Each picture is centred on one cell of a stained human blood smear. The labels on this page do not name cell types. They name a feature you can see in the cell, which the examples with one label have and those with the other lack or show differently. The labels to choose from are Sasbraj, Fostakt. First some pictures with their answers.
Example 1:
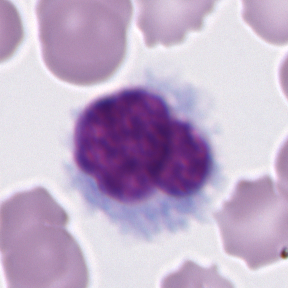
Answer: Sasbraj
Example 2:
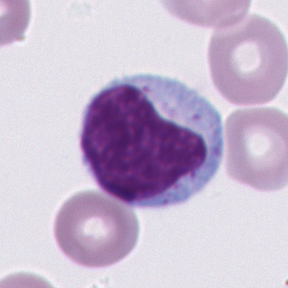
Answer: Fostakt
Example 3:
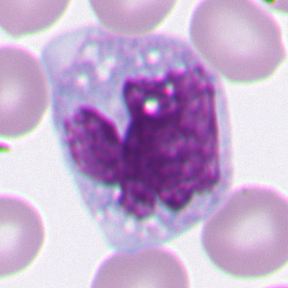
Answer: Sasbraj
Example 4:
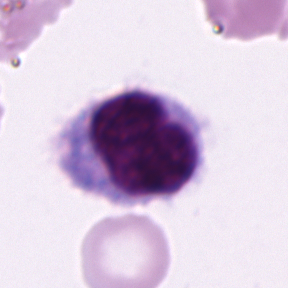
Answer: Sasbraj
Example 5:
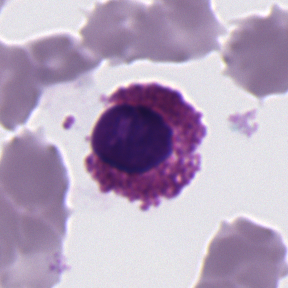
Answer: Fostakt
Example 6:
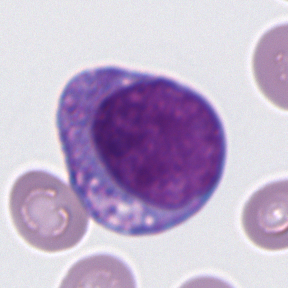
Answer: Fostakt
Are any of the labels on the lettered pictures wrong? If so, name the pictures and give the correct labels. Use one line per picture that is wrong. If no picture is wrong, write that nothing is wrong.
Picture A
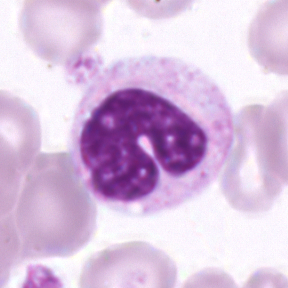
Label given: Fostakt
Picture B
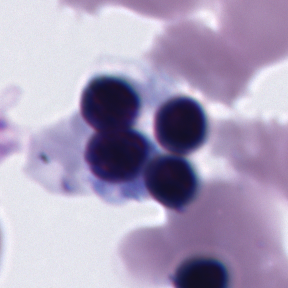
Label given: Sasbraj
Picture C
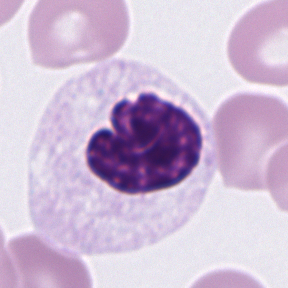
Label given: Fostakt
No label is wrong.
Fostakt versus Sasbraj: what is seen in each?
Fostakt, single compact nucleus; Sasbraj, lobed nucleus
